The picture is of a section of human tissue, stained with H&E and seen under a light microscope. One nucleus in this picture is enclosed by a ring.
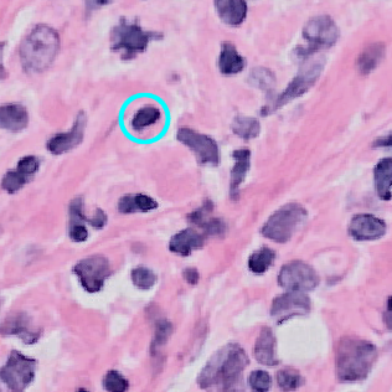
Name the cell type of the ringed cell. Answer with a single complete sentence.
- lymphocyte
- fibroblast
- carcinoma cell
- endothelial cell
Typologically, the ringed cell is a lymphocyte in this section.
